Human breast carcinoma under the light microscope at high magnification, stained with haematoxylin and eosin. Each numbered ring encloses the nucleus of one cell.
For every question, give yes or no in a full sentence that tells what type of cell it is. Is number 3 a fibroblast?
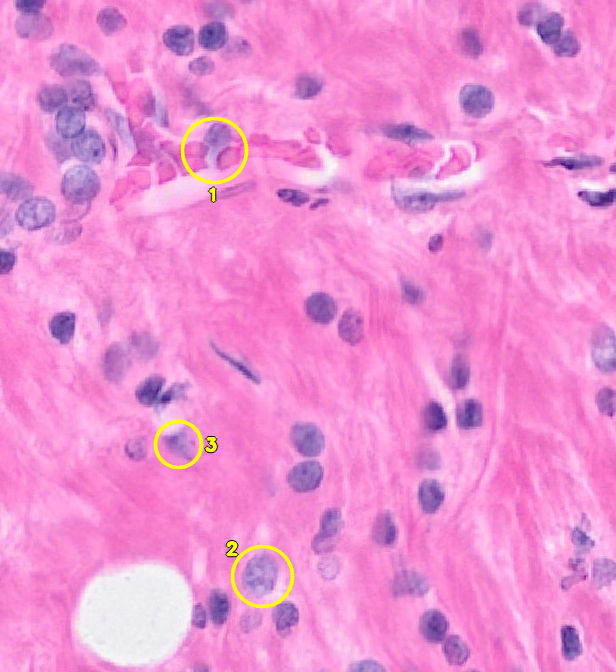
Yes, the cell referred to as number 3 is a fibroblast.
